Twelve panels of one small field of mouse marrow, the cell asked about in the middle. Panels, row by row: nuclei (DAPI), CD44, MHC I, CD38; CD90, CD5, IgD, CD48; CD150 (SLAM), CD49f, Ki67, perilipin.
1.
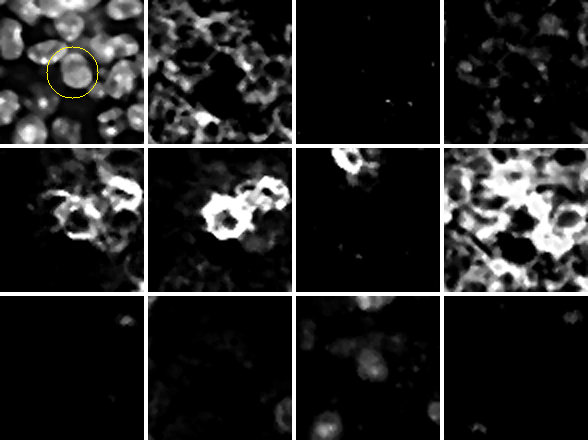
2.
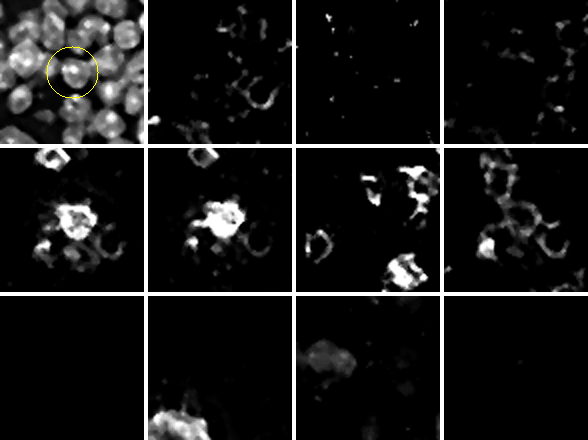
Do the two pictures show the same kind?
Yes, both are T cells.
